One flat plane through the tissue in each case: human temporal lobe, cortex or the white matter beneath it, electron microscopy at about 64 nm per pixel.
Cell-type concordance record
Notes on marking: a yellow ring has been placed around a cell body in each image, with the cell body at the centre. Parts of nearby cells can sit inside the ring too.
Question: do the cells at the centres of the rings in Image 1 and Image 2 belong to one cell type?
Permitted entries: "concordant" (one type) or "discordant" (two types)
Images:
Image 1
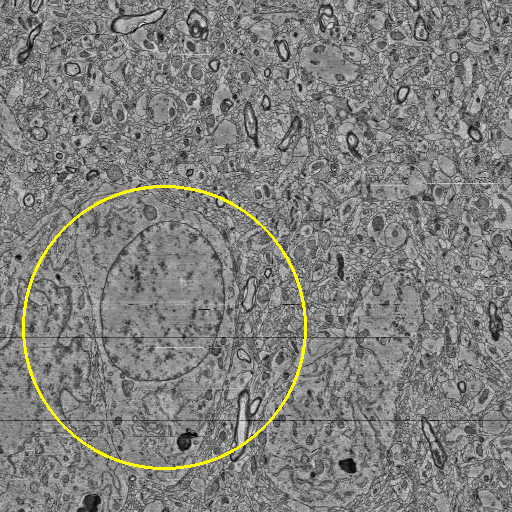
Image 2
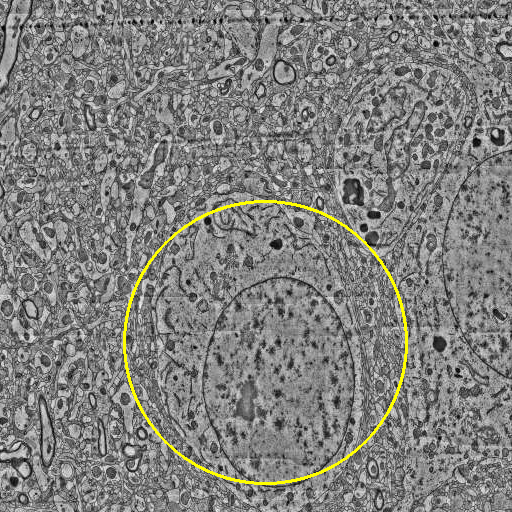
concordant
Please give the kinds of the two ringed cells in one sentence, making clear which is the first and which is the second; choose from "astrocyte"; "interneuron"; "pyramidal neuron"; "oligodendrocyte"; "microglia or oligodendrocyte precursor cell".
Each of the two rings is centred on a pyramidal neuron.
